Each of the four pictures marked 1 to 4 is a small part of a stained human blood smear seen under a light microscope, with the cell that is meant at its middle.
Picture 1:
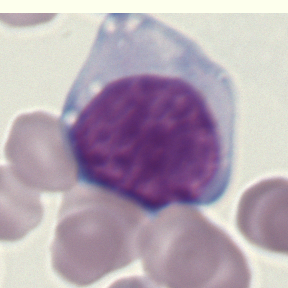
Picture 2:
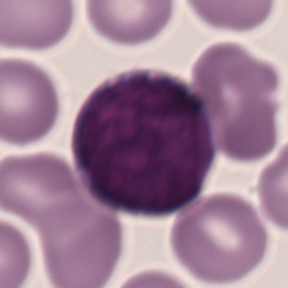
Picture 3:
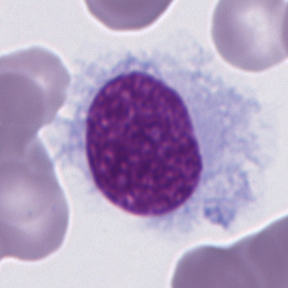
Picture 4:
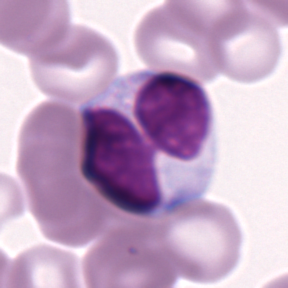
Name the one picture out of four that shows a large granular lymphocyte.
4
